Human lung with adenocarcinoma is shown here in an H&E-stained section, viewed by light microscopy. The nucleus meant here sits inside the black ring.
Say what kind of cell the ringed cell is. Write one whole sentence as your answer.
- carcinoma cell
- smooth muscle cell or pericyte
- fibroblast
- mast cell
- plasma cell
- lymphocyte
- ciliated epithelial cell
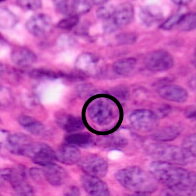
The ringed cell appears to be a ciliated epithelial cell.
